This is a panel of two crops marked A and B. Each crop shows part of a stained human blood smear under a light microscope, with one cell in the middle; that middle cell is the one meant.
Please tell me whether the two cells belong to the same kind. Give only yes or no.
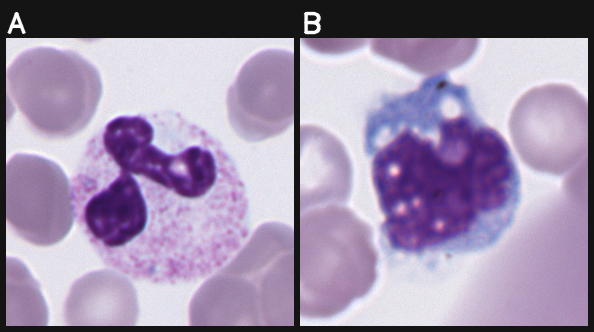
no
